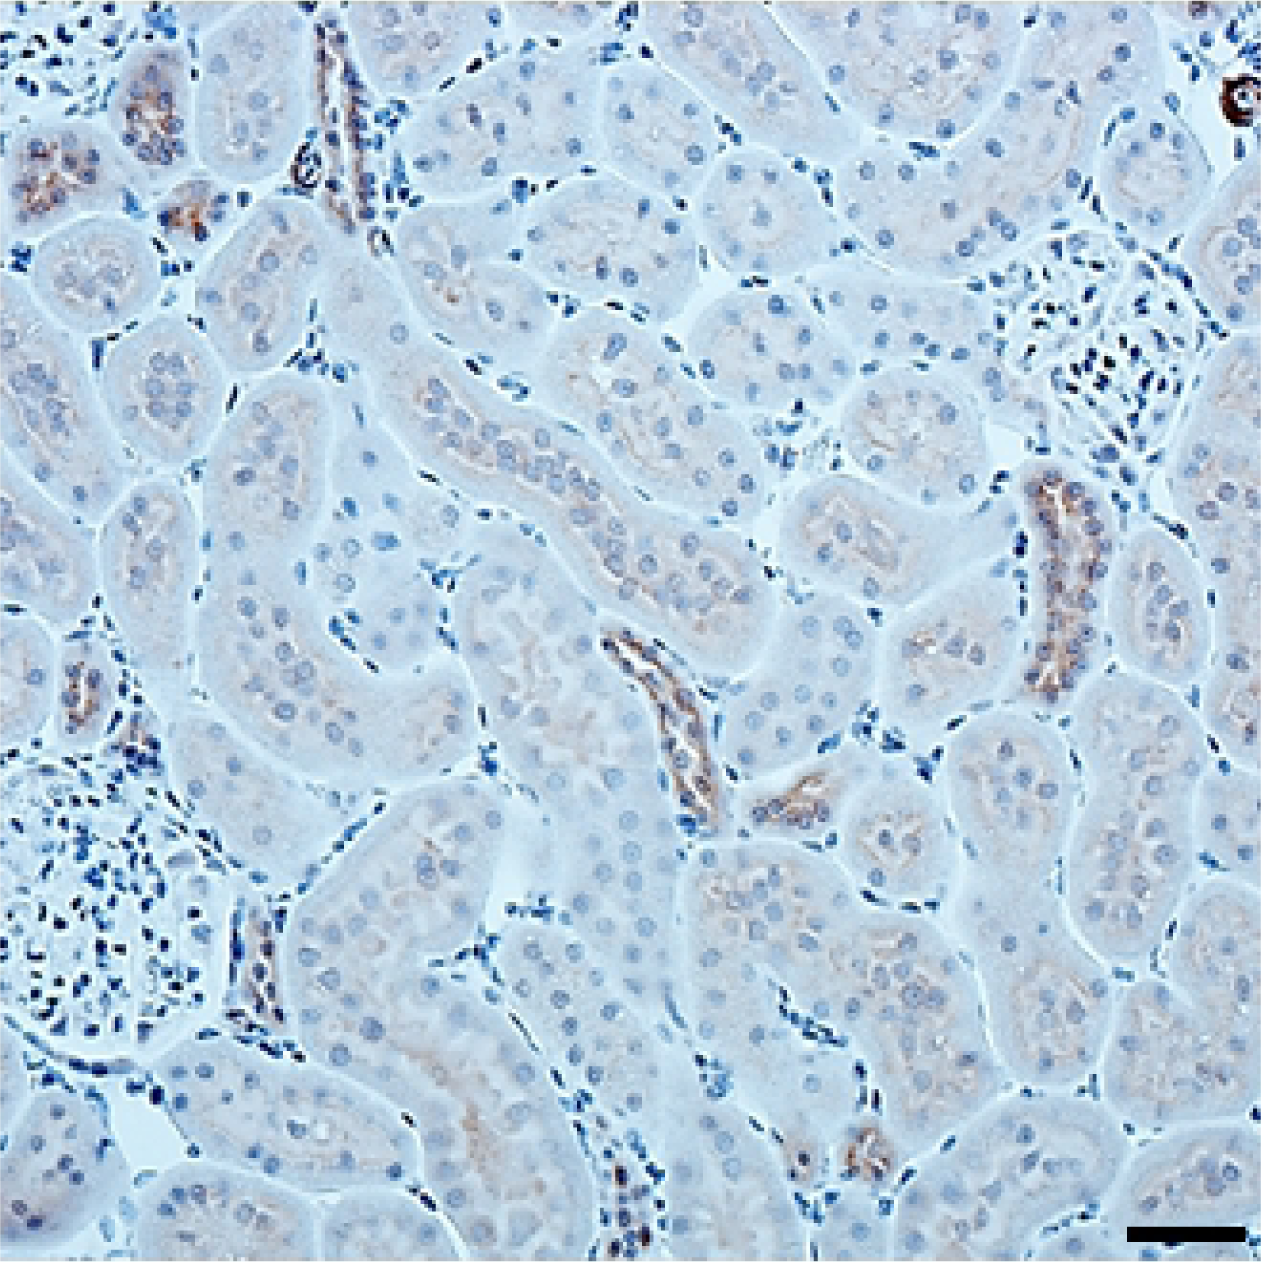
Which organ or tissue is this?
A: kidney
